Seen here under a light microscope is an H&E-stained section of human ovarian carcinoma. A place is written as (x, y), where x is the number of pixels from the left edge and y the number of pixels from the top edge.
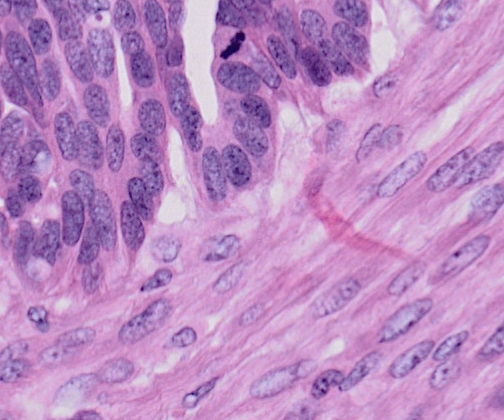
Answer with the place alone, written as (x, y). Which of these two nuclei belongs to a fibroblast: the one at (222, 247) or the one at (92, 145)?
(222, 247)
